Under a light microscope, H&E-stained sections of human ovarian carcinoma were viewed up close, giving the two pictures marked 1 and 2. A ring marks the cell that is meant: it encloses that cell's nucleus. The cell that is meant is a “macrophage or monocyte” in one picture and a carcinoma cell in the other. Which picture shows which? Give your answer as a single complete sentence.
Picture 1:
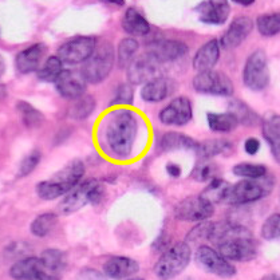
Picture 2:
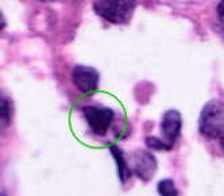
It is picture 1 that shows a “macrophage or monocyte”, and picture 2 that shows a carcinoma cell.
